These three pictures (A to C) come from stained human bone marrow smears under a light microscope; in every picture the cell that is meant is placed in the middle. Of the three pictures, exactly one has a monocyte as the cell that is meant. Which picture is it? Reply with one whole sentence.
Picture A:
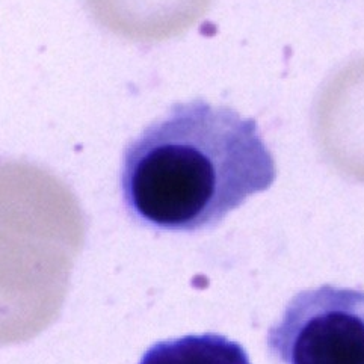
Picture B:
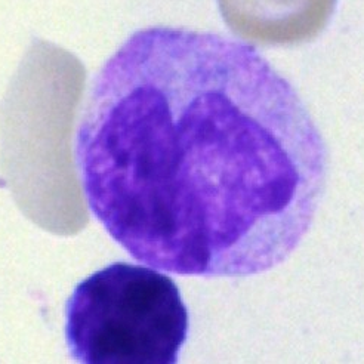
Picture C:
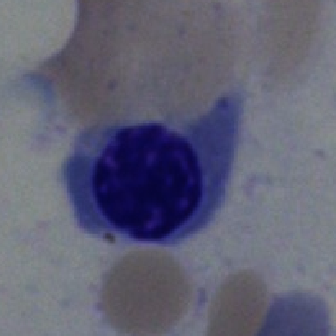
Picture B shows the monocyte.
